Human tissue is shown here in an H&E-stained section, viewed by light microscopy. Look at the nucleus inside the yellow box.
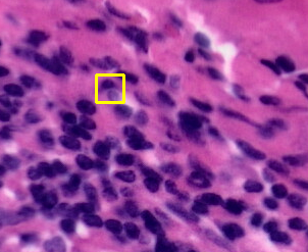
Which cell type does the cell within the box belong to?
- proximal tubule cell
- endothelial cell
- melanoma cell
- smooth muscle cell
endothelial cell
